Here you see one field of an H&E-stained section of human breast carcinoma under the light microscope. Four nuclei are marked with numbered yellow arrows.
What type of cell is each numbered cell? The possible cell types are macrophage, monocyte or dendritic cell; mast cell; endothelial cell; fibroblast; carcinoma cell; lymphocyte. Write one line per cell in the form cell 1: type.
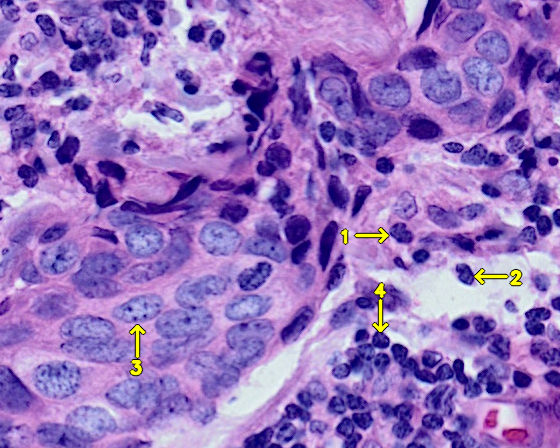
cell 1: lymphocyte
cell 2: lymphocyte
cell 3: carcinoma cell
cell 4: lymphocyte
